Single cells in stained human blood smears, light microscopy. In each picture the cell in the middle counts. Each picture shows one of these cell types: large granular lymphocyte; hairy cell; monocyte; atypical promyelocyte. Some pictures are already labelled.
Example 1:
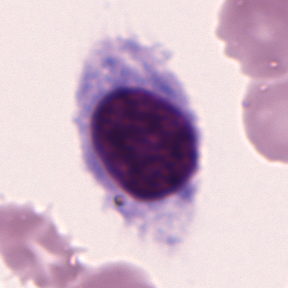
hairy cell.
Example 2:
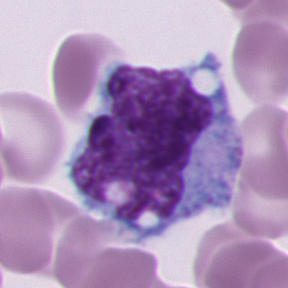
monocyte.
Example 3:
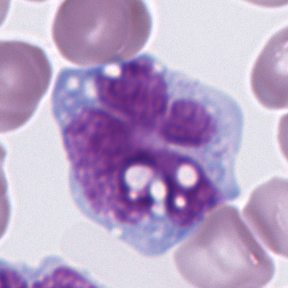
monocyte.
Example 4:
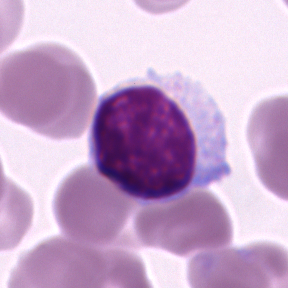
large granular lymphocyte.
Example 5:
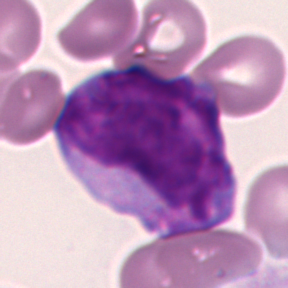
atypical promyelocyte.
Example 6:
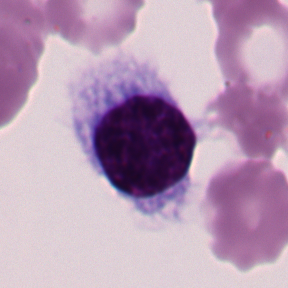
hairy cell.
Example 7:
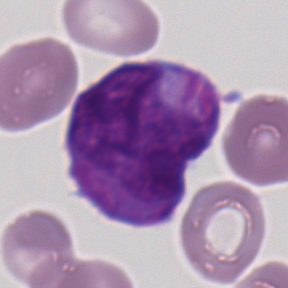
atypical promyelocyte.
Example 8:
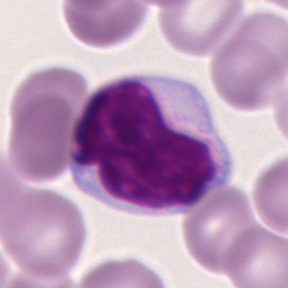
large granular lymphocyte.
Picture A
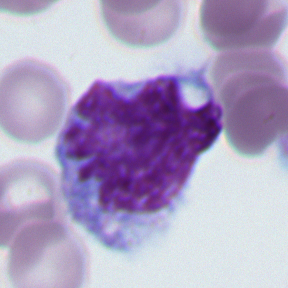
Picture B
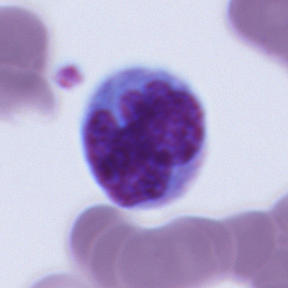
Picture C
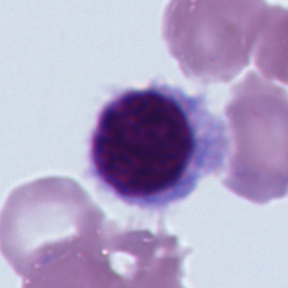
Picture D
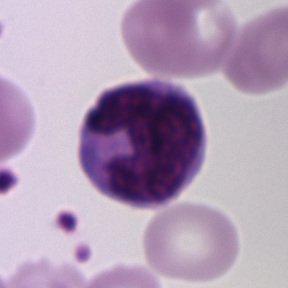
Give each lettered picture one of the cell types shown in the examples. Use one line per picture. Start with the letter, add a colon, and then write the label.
A: monocyte.
B: monocyte.
C: hairy cell.
D: monocyte.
